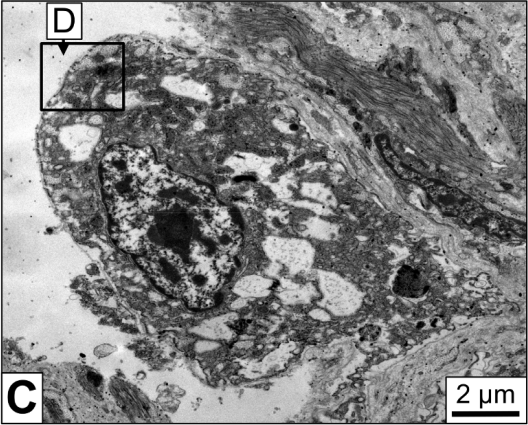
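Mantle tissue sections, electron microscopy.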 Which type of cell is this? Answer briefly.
Rhogocyte.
